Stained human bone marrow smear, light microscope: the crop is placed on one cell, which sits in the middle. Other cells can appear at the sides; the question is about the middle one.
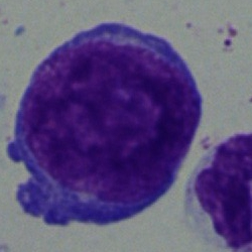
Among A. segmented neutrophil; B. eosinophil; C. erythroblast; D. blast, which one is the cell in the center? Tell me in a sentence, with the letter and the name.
The cell placed in the middle is a blast; option D is correct.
